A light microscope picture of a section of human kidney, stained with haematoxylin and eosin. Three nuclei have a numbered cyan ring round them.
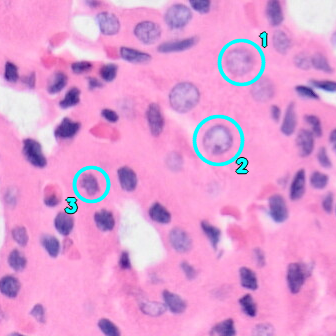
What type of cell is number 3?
loop of Henle or distal tubule cell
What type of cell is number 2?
proximal tubule cell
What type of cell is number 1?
proximal tubule cell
